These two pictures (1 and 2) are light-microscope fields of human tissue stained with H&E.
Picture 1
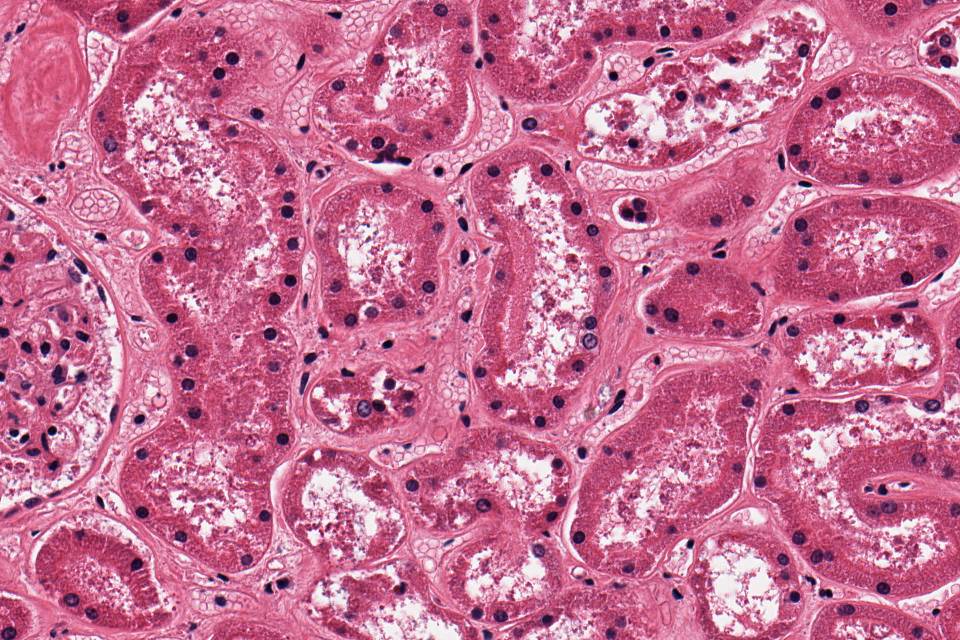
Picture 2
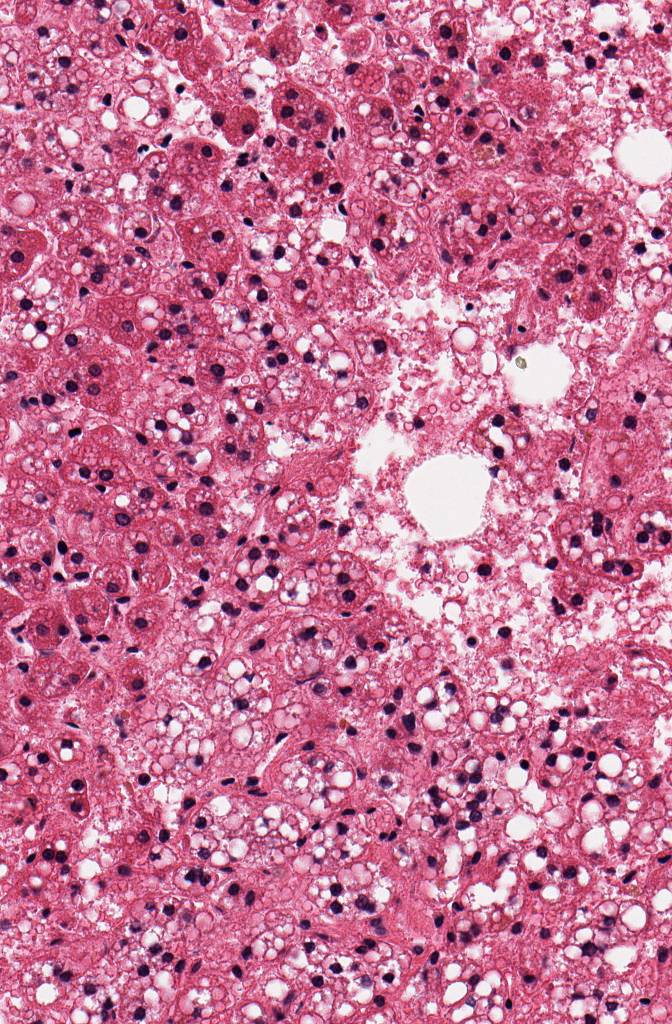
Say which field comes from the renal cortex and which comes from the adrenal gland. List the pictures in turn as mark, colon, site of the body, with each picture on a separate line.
1: renal cortex
2: adrenal gland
